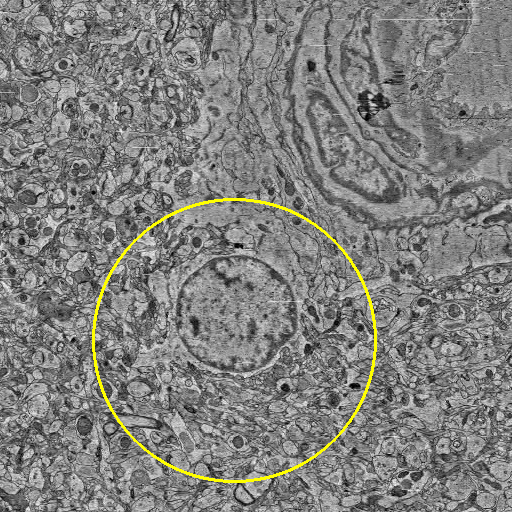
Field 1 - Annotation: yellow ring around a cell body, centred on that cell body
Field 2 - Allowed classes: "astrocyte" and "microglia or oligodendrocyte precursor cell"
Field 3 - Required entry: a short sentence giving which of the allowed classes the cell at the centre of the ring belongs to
The centred cell is an astrocyte.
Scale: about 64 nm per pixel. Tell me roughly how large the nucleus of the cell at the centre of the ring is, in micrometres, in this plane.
In this plane, roughly 8 micrometres across.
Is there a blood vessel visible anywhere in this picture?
Yes, one is visible.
